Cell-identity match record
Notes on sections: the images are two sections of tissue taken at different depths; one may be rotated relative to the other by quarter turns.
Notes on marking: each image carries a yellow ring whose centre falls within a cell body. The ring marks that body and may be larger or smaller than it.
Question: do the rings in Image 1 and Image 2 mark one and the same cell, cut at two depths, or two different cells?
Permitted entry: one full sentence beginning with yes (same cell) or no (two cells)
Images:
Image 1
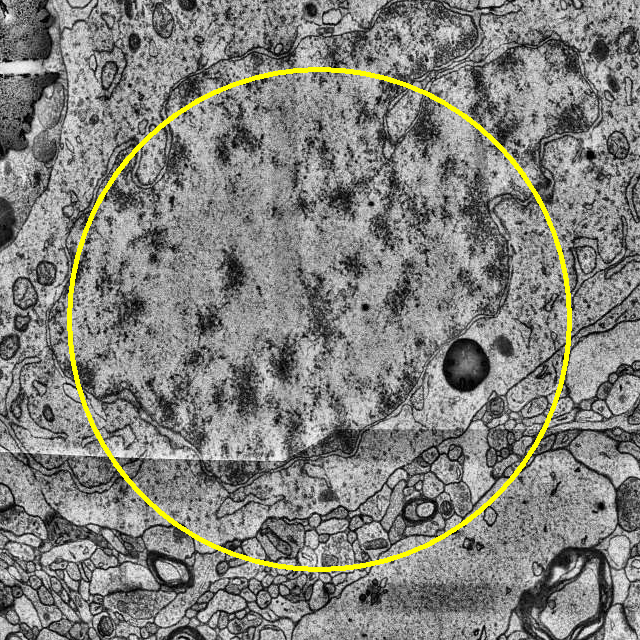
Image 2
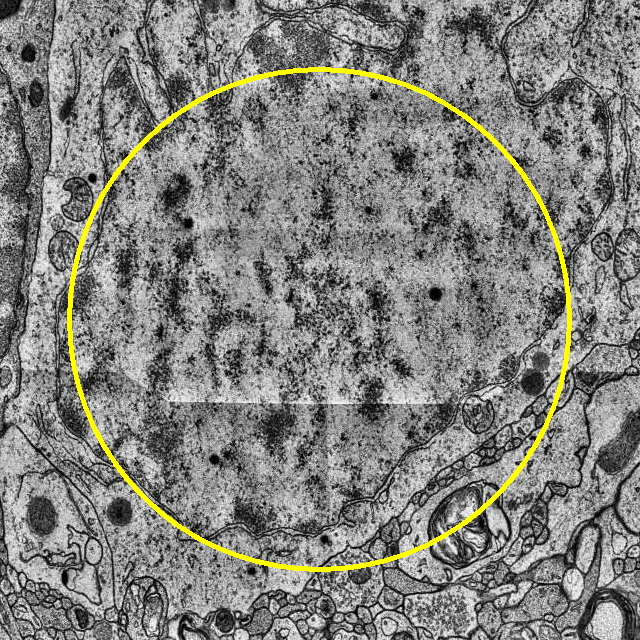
Yes, the two rings mark one cell and not separate cells.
